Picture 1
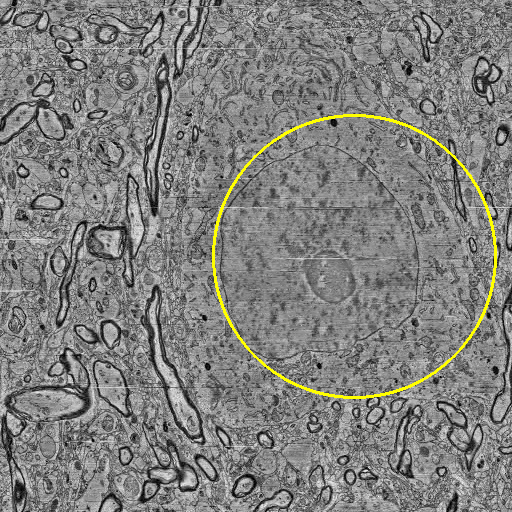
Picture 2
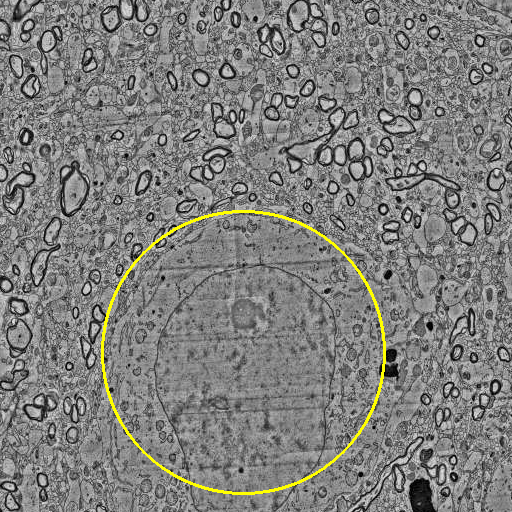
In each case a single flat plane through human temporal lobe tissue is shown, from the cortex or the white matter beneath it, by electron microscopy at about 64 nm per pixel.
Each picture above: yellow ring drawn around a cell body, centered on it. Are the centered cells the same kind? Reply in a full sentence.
Yes, the two cells are the same kind.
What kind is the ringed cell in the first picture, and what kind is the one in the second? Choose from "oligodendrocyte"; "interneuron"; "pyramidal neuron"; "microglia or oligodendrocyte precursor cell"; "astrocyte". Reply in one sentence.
In each of the two pictures, the ringed cell is a pyramidal neuron.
